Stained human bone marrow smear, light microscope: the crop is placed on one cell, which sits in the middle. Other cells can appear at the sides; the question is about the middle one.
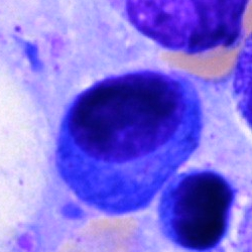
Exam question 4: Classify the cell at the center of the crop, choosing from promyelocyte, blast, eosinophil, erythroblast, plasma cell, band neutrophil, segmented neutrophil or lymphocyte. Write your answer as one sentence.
The cell featured at the centre of this crop is a plasma cell.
